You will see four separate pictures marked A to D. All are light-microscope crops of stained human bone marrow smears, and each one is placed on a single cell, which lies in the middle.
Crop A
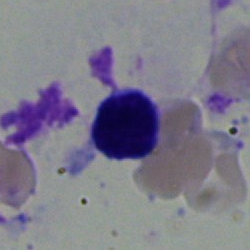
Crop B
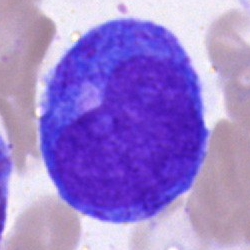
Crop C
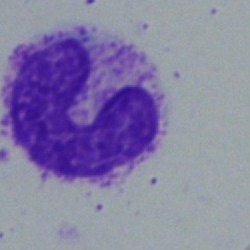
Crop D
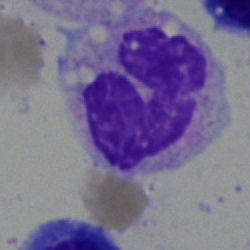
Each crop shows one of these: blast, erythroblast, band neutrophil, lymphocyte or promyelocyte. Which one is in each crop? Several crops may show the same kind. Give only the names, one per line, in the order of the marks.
lymphocyte
promyelocyte
band neutrophil
band neutrophil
